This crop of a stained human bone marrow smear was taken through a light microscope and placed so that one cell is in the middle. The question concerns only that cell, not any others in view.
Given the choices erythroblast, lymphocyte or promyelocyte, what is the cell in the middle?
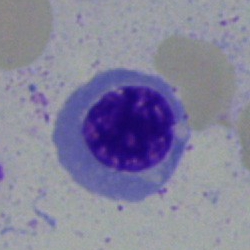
erythroblast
